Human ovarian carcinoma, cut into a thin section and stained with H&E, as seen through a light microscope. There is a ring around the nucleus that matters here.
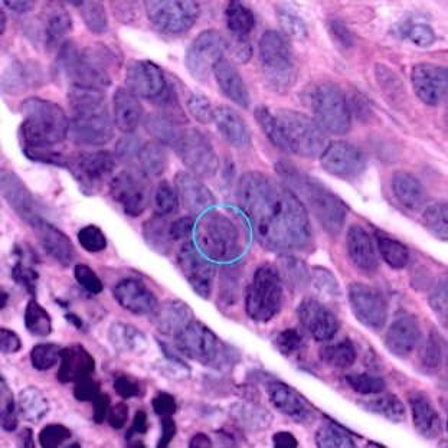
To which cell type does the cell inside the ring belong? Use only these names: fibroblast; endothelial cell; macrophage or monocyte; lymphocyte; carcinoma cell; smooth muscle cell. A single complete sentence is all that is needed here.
In the tissue at hand, the cell inside the ring is a carcinoma cell.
